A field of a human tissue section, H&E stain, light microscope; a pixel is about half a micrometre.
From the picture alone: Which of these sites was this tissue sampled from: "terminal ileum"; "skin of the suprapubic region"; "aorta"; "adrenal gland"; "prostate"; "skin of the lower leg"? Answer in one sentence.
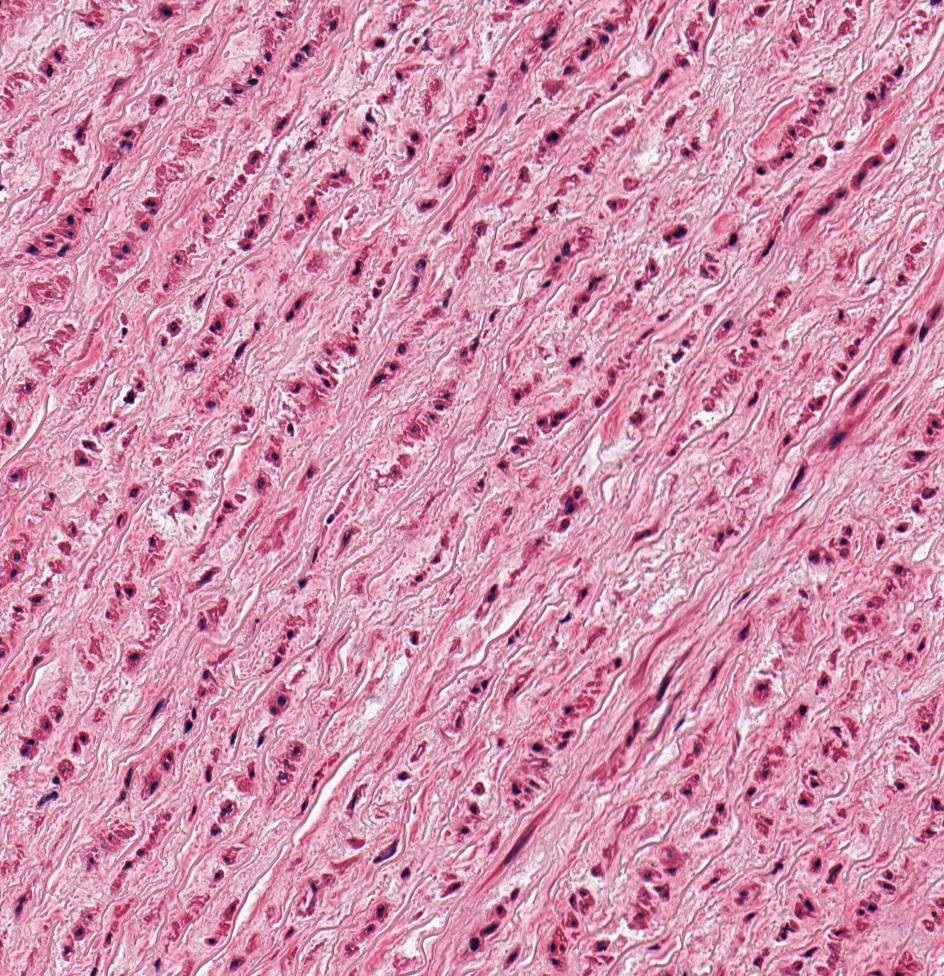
The site this tissue was sampled from is the aorta.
